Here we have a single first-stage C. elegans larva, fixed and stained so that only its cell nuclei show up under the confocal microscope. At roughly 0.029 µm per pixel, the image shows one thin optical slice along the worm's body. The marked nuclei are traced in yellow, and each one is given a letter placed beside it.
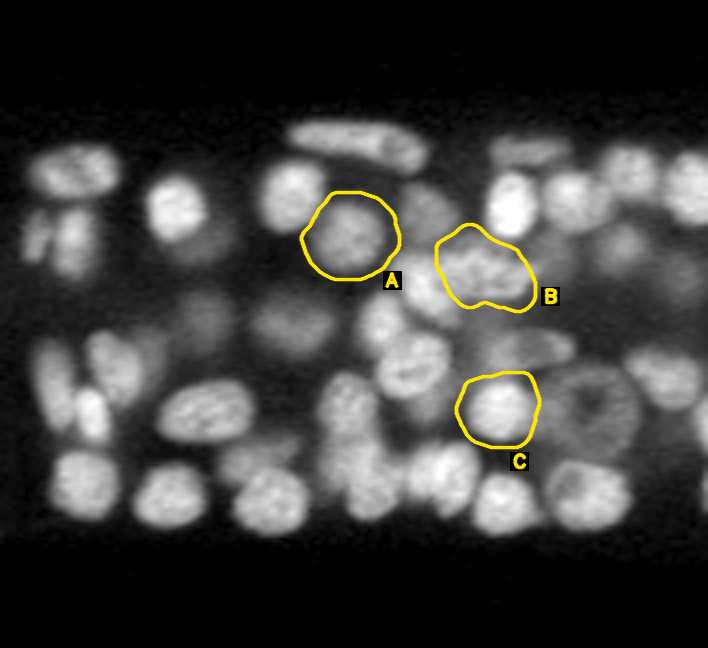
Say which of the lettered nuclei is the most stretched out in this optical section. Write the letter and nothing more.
B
